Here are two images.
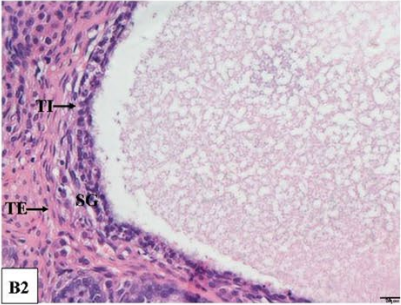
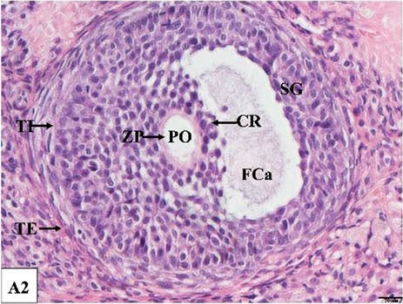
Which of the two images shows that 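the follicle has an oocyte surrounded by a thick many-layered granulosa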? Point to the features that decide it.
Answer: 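The second image. First image: a large fluid-filled cavity lined by a thin band of a few cell rows, no oocyte. Second image: a central oocyte with a pink zona ringed by many layers of granulosa cells.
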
